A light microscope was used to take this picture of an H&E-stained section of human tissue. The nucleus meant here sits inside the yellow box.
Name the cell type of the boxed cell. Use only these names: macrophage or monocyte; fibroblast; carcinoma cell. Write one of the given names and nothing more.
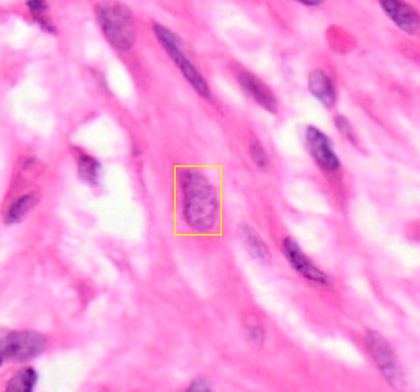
fibroblast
